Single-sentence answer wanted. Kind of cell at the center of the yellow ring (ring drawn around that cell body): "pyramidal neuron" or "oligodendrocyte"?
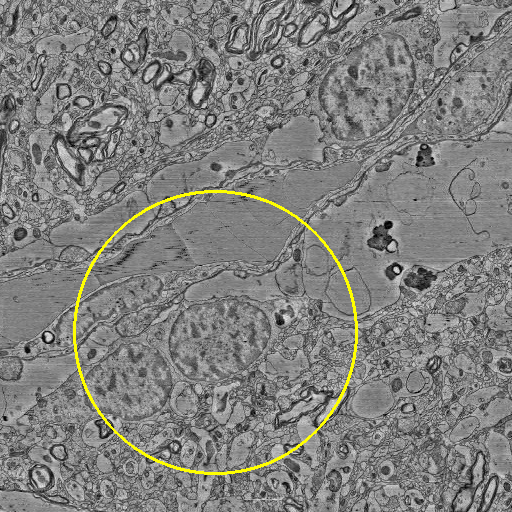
The cell centered in the ring is an oligodendrocyte.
